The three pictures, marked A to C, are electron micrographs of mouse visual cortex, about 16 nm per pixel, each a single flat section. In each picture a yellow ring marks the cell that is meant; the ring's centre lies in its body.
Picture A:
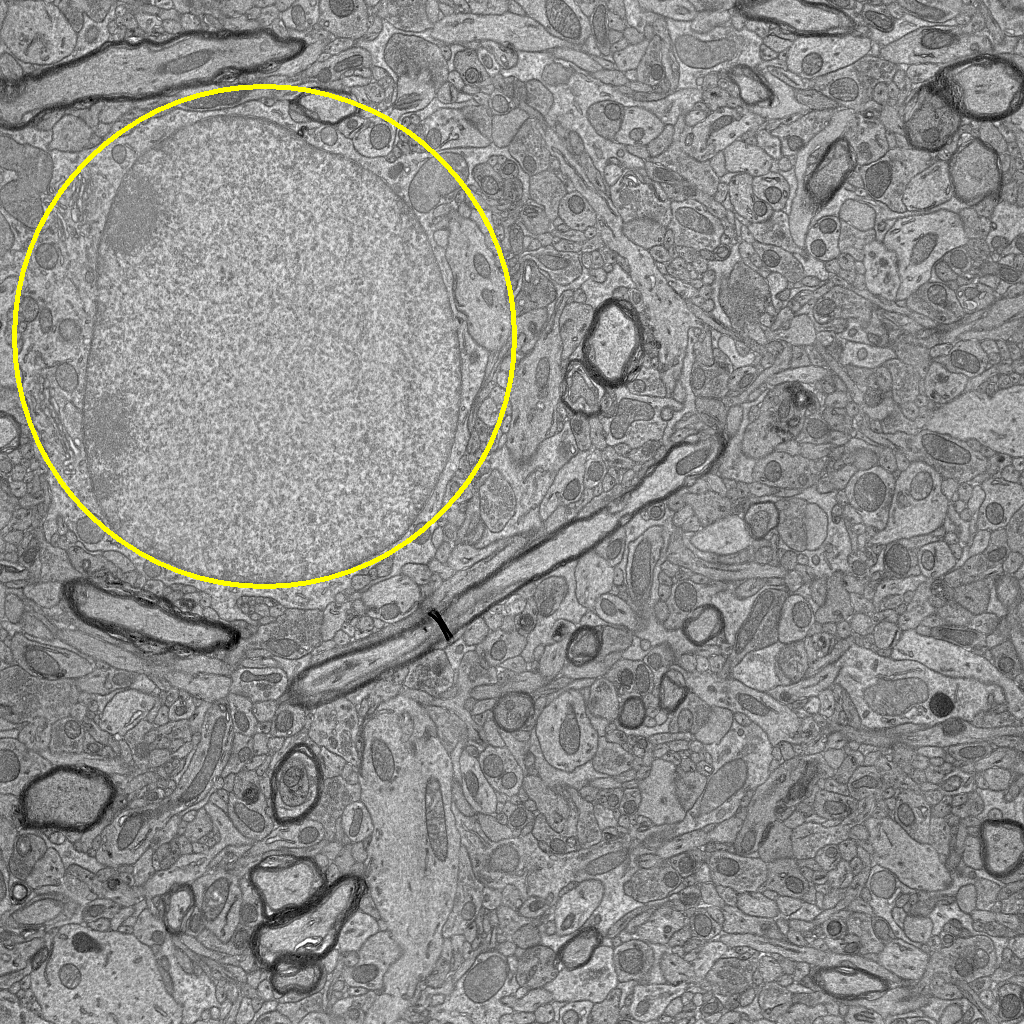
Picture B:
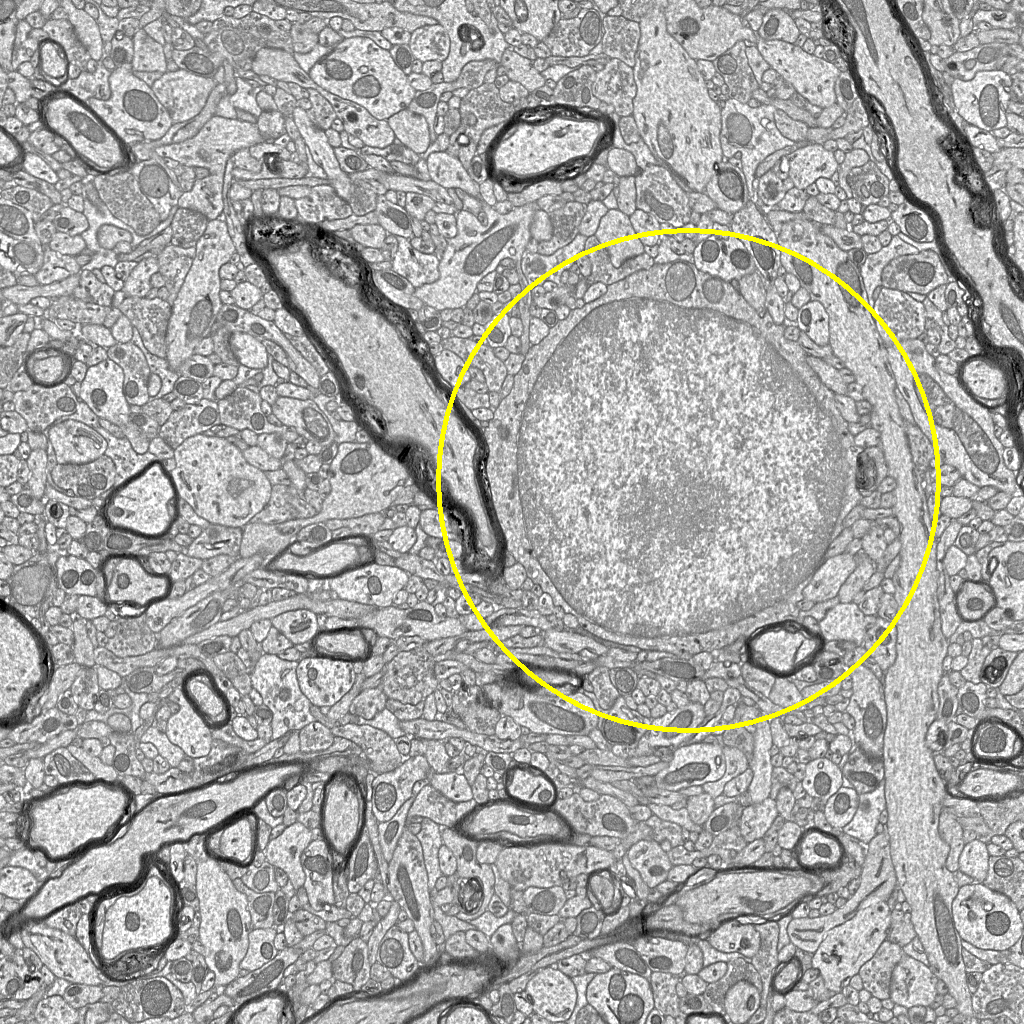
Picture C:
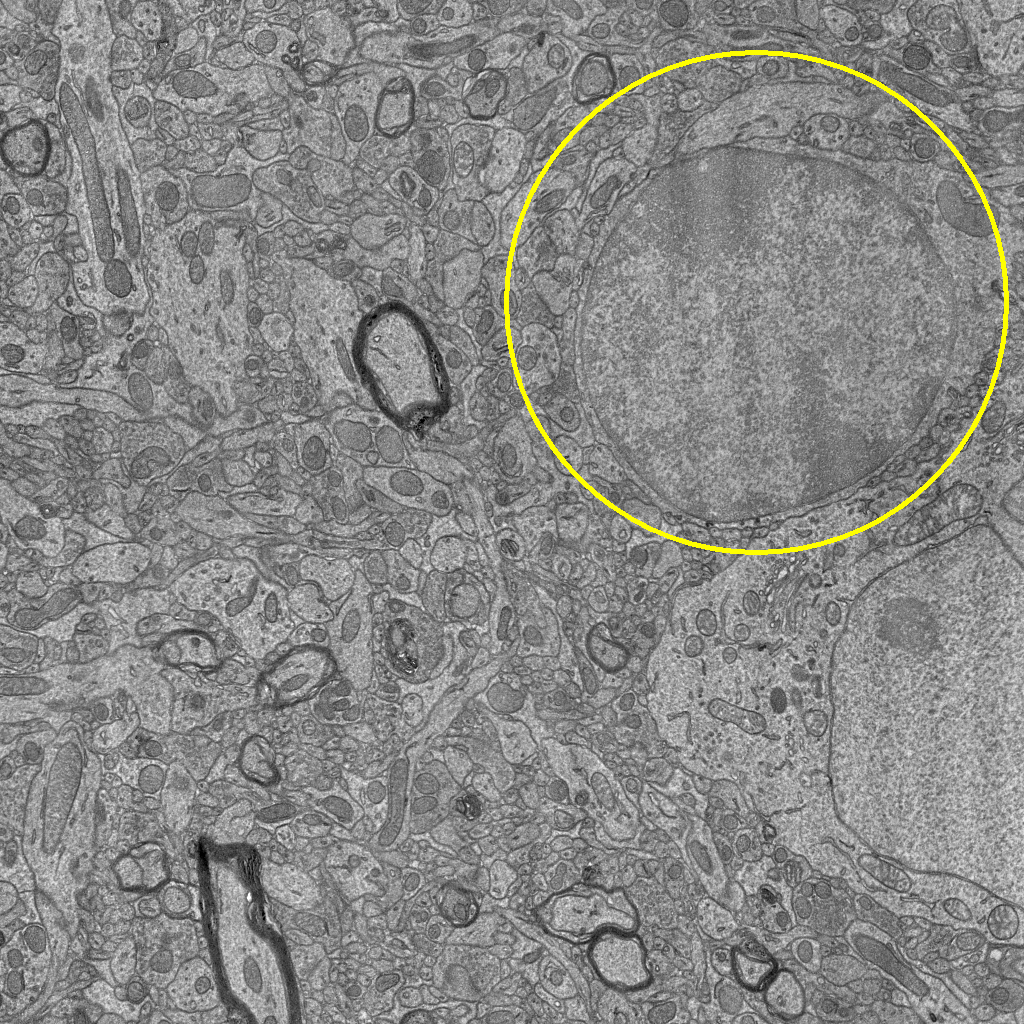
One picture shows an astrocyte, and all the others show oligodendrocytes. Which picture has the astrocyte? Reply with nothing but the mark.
A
